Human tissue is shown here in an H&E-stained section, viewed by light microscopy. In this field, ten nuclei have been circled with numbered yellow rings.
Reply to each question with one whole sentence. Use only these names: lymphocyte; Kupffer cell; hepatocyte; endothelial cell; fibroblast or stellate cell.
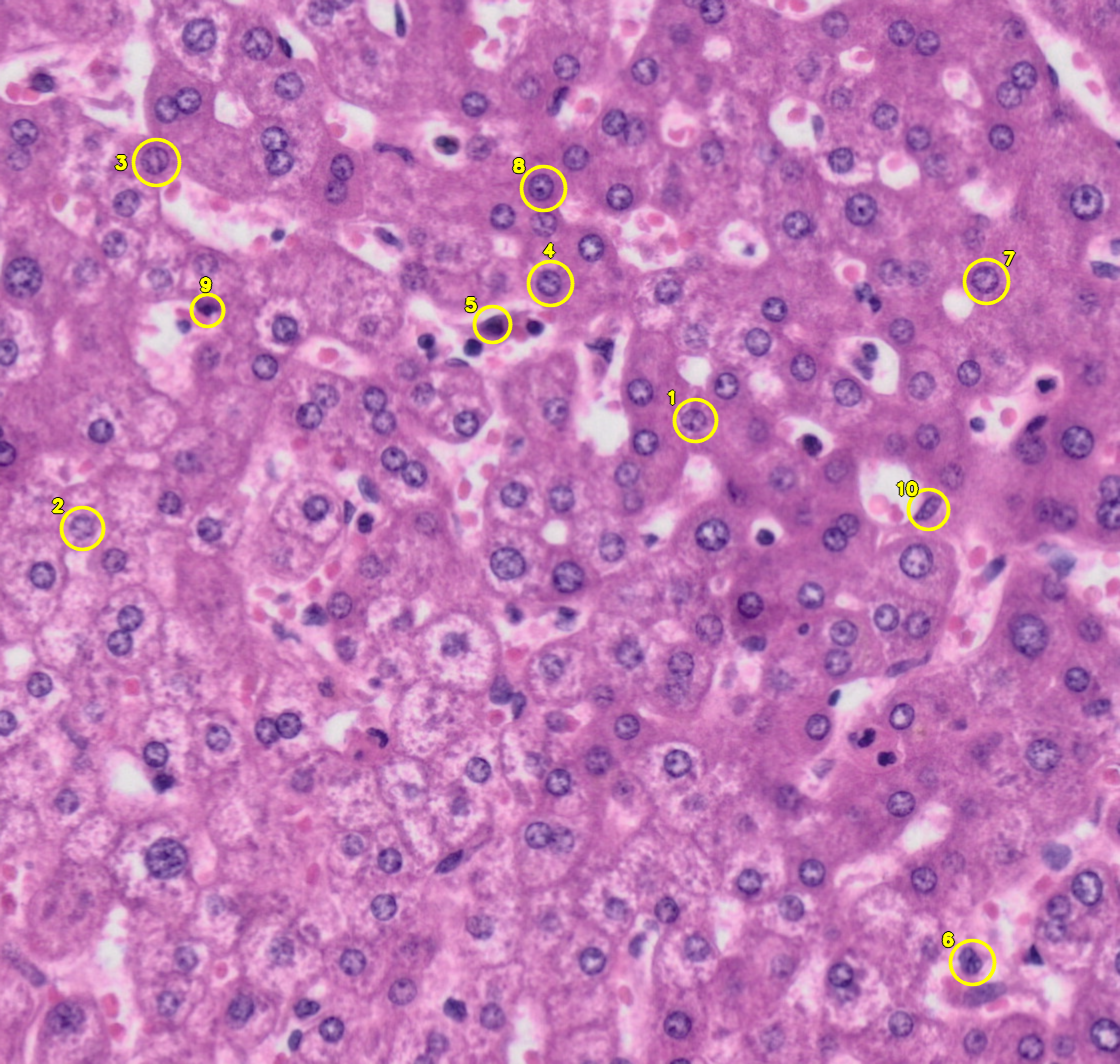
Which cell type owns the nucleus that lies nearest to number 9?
Number 9 lies closest to the nucleus of a lymphocyte.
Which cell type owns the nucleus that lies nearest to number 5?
Closest to number 5 lies the nucleus of a lymphocyte.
